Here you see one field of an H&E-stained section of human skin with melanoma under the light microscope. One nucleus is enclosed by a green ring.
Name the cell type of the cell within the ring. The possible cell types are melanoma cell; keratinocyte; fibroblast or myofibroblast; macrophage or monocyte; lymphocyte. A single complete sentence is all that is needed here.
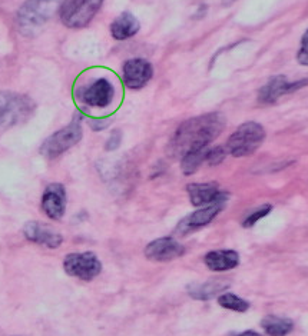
Labelled by cell type, the cell within the ring is a lymphocyte.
